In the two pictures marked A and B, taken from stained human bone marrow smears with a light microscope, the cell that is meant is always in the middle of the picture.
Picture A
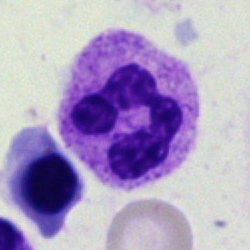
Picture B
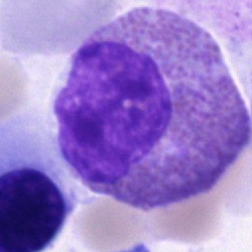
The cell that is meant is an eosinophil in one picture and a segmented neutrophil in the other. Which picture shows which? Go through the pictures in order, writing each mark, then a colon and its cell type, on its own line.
A: segmented neutrophil
B: eosinophil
